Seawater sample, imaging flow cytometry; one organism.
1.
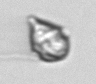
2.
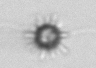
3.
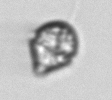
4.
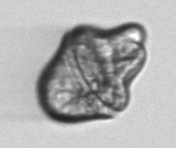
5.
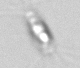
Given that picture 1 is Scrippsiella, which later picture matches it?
3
